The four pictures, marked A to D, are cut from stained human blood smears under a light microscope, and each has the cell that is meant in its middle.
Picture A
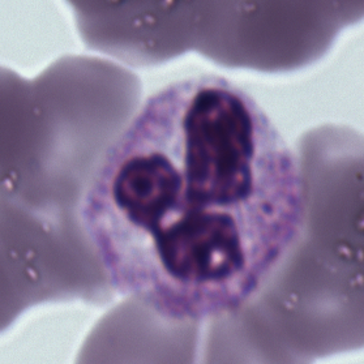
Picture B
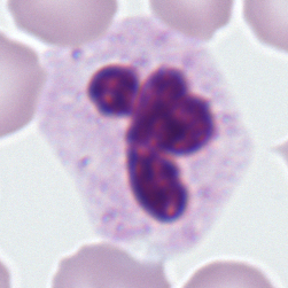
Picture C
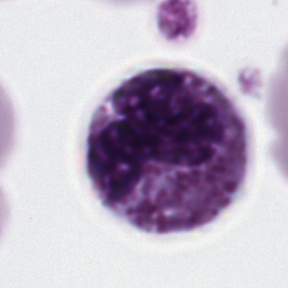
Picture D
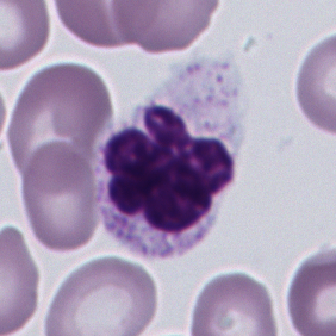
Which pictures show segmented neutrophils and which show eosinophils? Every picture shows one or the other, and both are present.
A: segmented neutrophil
B: segmented neutrophil
C: eosinophil
D: segmented neutrophil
